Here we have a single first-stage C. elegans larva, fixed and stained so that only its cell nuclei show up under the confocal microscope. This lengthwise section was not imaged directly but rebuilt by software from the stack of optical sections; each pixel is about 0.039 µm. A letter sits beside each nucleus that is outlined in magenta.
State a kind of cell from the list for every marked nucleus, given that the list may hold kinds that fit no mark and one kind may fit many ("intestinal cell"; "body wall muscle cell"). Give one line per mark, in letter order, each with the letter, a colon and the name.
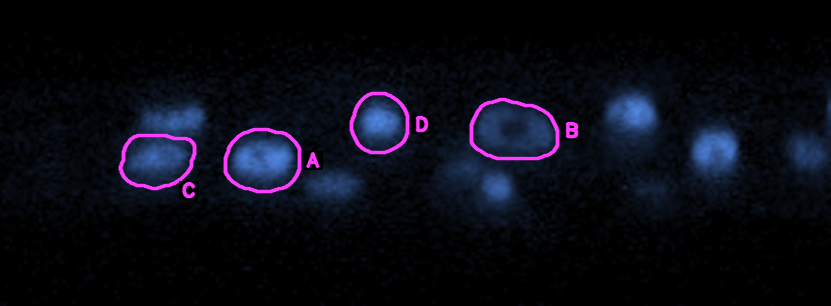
A: body wall muscle cell
B: intestinal cell
C: body wall muscle cell
D: body wall muscle cell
